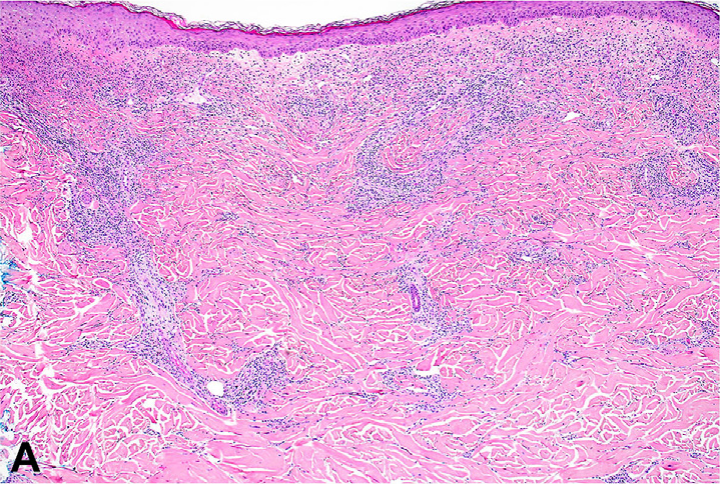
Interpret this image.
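This is a low-power view of skin, with the epidermis as a thin pink and purple band along the top and the pink collagen of the dermis filling the rest. Just under the epidermis the upper dermis looks paler and looser, a sign of edema. Throughout the upper and middle dermis there are dense blue-purple collections of inflammatory cells gathered around blood vessels. Smaller streaks of these cells also run between the collagen bundles, and some surround a small follicle-like structure in the middle.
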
